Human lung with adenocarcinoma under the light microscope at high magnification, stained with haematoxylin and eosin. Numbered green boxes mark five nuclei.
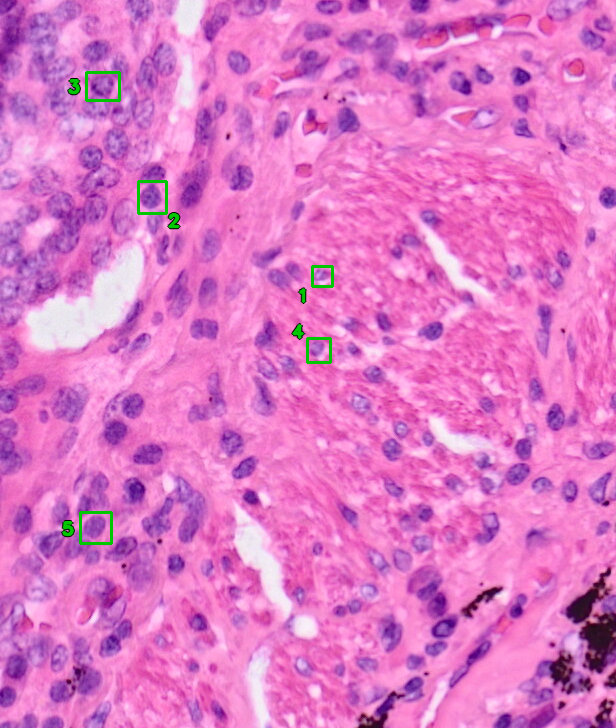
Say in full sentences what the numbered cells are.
Cell 1 is a smooth muscle cell or pericyte, cell 2 is a lymphocyte, cell 3 is a ciliated epithelial cell, cell 4 is a smooth muscle cell or pericyte and cell 5 is a lymphocyte.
